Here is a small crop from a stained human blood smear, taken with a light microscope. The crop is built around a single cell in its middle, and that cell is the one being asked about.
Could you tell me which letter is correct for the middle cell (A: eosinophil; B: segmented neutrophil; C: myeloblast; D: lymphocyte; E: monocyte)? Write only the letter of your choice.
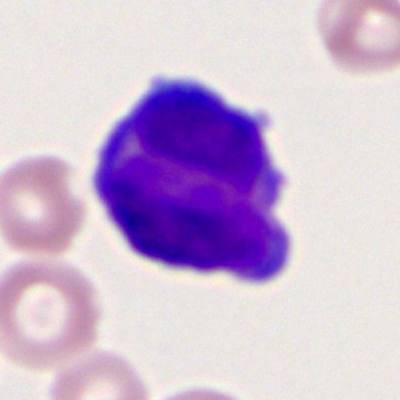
C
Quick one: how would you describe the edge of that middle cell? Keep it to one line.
The edge is uneven, and this unevenness takes the form of ragged stretches or projections.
